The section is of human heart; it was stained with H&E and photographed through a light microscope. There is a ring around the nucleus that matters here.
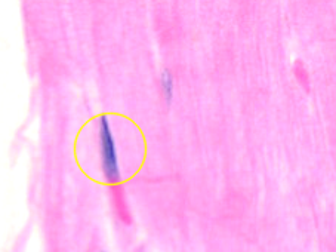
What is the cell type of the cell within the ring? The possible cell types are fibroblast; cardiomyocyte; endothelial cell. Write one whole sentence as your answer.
In the tissue at hand, the cell within the ring is an endothelial cell.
